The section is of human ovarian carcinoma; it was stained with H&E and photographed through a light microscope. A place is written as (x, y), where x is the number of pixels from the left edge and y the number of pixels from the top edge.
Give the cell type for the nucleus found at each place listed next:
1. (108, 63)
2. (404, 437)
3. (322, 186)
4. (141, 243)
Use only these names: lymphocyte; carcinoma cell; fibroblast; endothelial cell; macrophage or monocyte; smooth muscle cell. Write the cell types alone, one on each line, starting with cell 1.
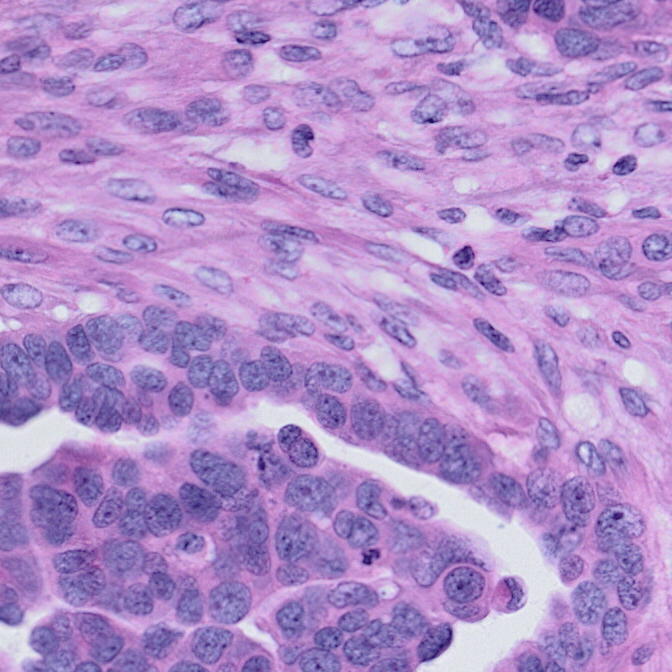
fibroblast
carcinoma cell
fibroblast
fibroblast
